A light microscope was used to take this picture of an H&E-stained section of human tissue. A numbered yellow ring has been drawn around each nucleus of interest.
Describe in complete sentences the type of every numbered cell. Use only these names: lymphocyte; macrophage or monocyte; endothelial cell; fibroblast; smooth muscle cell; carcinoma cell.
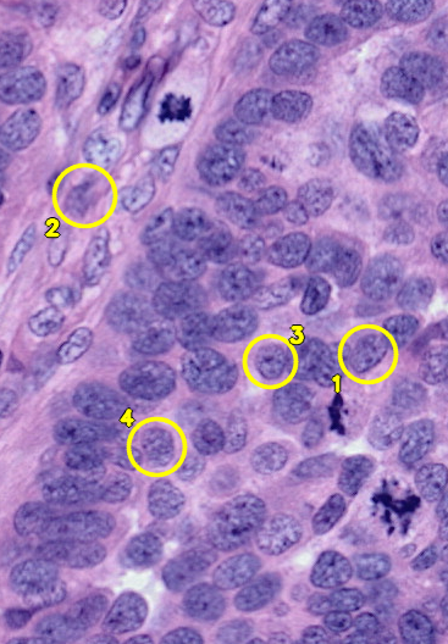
Cell 1 is a carcinoma cell, cell 2 is a fibroblast, cell 3 is a carcinoma cell and cell 4 is a carcinoma cell.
